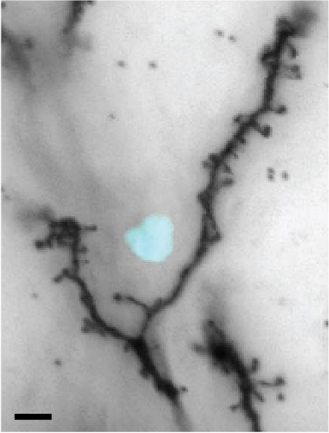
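Dendritic branches of an impregnated neuron appear as dark, slender processes at high magnification. Numerous dendritic spines project as short knobs and stubs from the branches.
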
